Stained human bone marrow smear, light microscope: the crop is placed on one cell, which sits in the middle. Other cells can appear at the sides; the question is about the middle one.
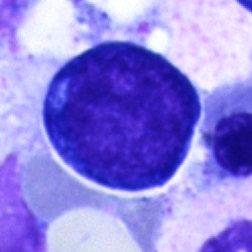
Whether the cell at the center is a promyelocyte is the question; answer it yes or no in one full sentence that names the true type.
No, the cell at the centre of the crop is a proerythroblast and not a promyelocyte.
